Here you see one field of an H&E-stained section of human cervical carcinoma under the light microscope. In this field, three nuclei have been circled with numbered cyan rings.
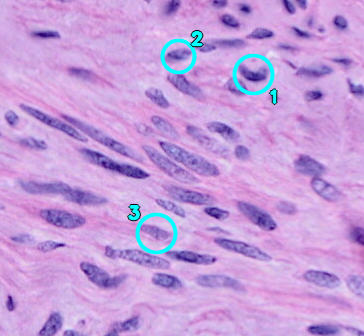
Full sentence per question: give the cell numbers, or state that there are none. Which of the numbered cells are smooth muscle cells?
Unlike the other numbered cells, cell 3 is a smooth muscle cell.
